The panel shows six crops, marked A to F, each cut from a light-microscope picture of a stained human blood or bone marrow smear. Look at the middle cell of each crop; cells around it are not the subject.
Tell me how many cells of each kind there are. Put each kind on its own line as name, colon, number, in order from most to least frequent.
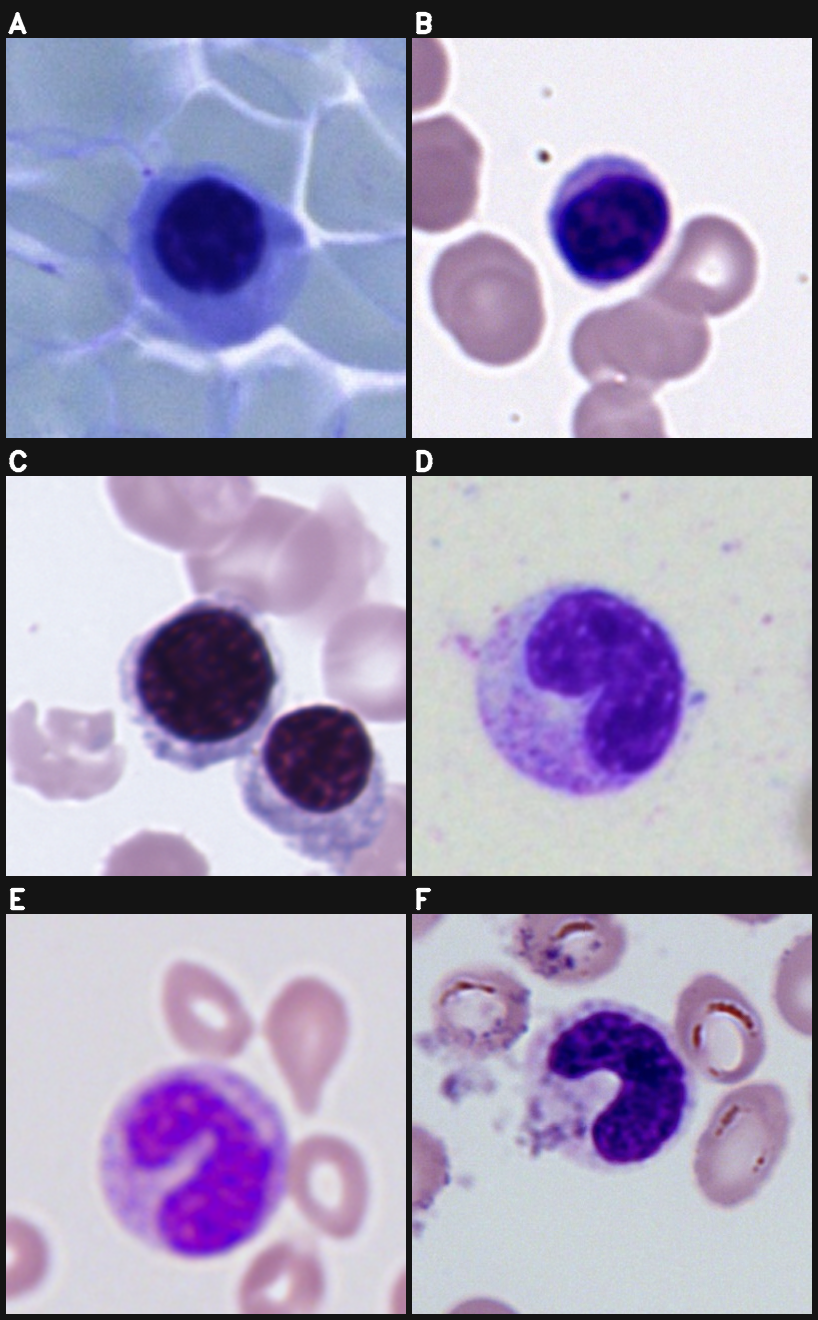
band neutrophil: 3
normoblast: 2
lymphocyte: 1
